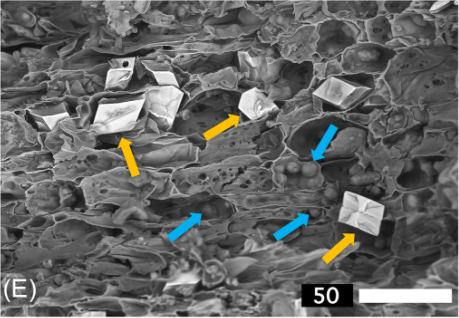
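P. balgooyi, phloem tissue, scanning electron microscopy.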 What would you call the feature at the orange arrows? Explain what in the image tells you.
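The orange arrows point to angular bodies with flat faces and sharp edges. These bodies are bright against the grey tissue and lie within cell lumens.
Ca-oxalate crystals.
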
